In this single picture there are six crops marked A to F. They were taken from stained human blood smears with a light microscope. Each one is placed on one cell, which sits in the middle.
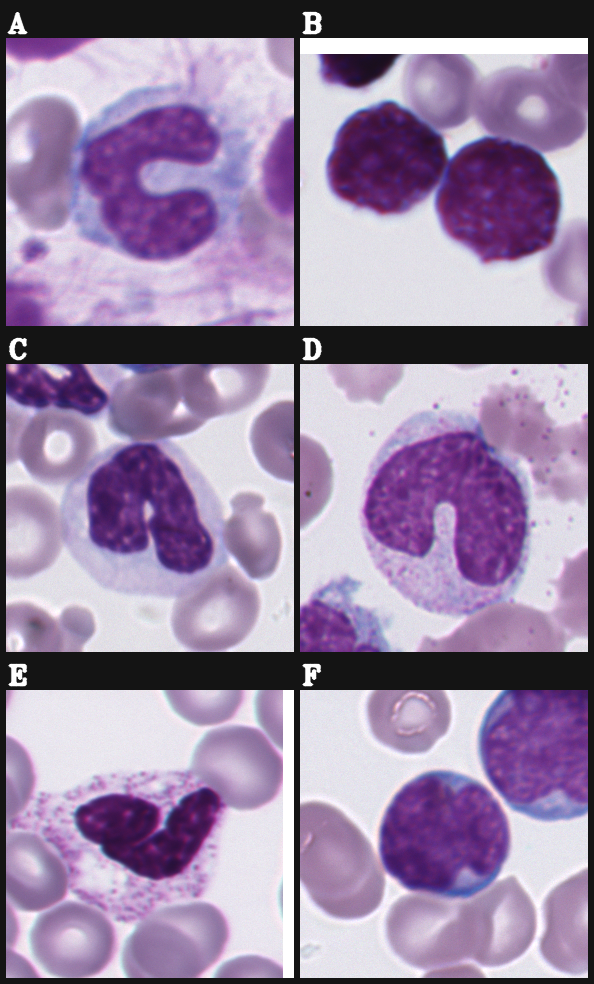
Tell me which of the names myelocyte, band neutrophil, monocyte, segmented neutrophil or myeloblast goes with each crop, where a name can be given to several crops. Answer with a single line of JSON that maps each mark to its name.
{"A": "monocyte", "B": "myeloblast", "C": "band neutrophil", "D": "band neutrophil", "E": "segmented neutrophil", "F": "myeloblast"}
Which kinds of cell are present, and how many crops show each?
myeloblast: 2
band neutrophil: 2
monocyte: 1
segmented neutrophil: 1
